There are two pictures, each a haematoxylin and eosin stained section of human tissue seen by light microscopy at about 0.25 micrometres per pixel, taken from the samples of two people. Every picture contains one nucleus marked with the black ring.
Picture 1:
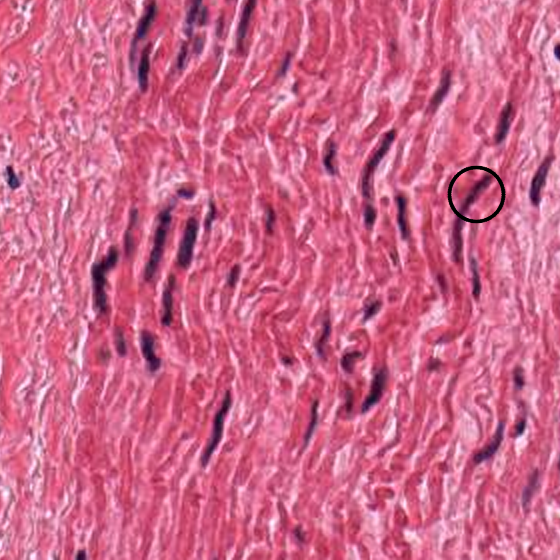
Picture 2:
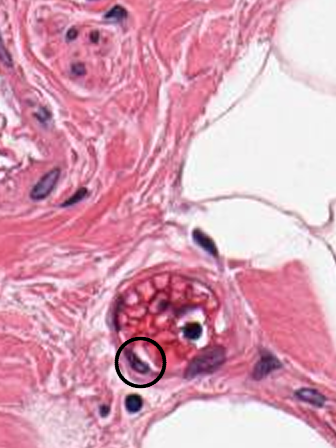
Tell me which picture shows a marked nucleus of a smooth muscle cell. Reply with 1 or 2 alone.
1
